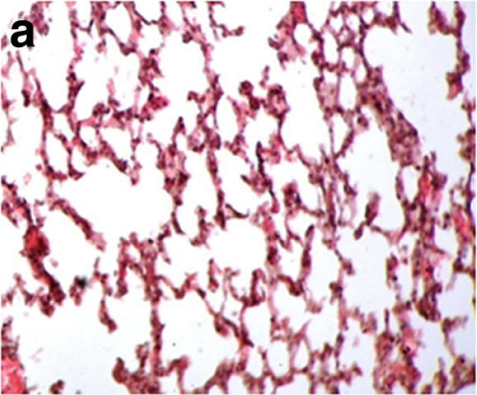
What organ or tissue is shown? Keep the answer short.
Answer: Lung tissue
